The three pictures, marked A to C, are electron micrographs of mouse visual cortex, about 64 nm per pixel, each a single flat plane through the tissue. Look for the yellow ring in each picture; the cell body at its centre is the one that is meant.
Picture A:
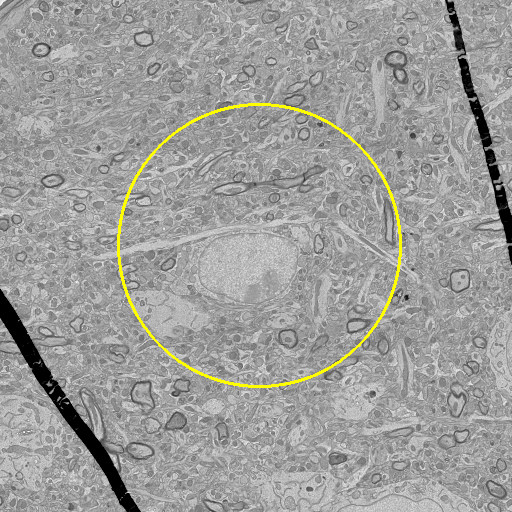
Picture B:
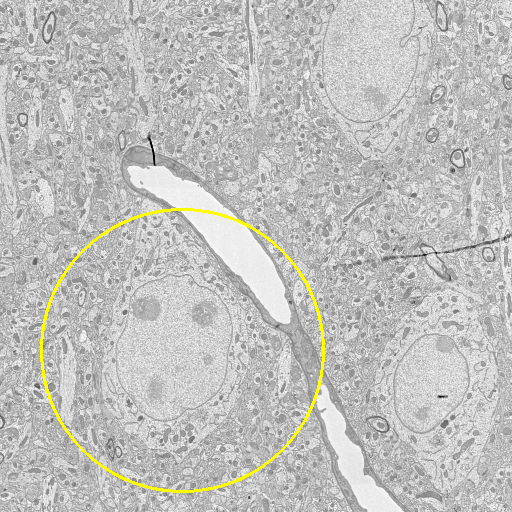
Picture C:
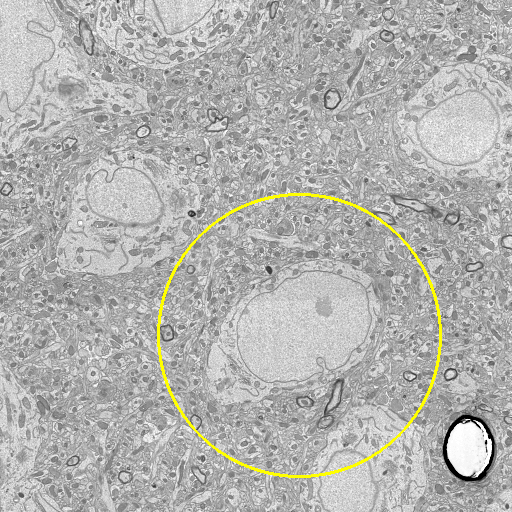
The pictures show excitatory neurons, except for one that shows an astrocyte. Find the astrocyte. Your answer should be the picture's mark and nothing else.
A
